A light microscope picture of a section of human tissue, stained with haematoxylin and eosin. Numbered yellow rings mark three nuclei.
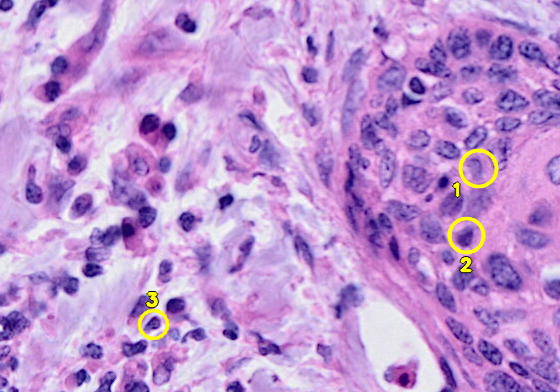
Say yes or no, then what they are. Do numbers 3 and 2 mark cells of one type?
No, cell 3 is a lymphocyte and cell 2 is a squamous carcinoma cell.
